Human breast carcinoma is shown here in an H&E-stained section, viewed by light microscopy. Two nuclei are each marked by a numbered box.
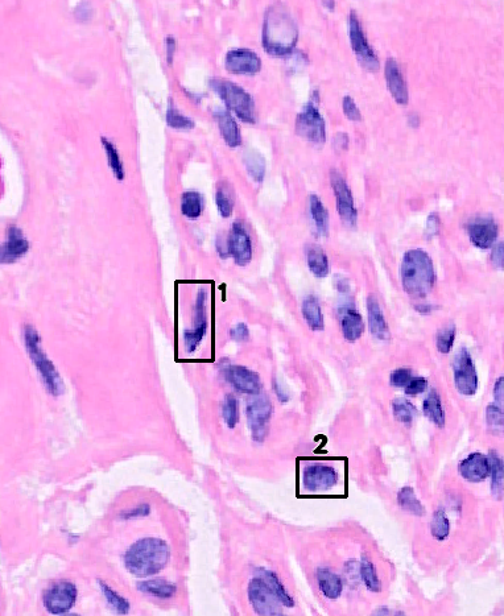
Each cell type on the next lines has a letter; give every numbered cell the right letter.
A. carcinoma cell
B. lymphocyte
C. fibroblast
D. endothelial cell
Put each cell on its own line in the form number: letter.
1: C
2: B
